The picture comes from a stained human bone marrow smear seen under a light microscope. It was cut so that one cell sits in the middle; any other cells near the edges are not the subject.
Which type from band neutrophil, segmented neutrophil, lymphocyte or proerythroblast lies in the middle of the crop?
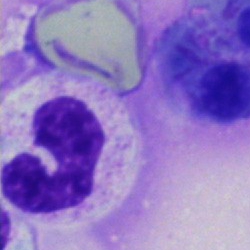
segmented neutrophil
